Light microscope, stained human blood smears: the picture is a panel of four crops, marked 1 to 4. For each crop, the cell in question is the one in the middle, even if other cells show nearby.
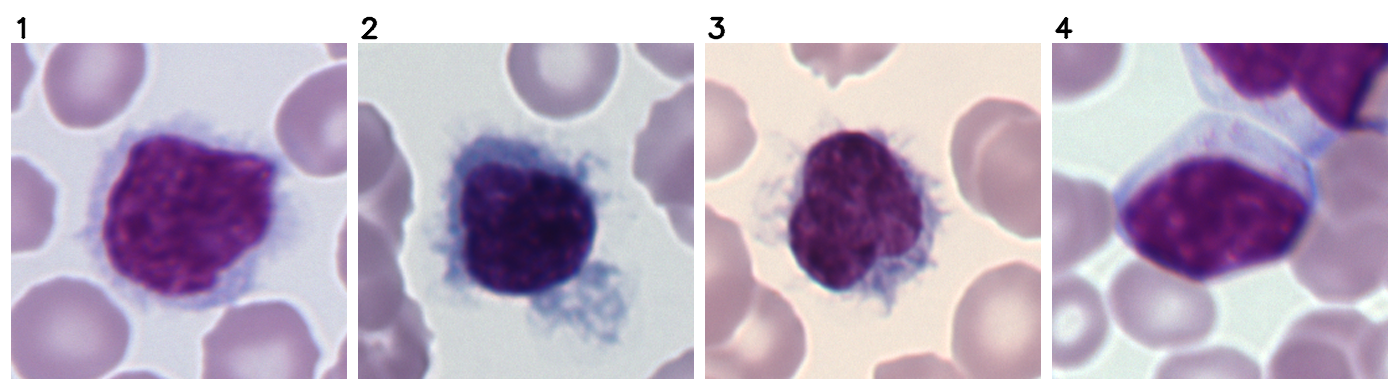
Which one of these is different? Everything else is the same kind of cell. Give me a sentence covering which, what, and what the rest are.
Apart from crop 4, which shows a large granular lymphocyte, every crop shows hairy cells.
